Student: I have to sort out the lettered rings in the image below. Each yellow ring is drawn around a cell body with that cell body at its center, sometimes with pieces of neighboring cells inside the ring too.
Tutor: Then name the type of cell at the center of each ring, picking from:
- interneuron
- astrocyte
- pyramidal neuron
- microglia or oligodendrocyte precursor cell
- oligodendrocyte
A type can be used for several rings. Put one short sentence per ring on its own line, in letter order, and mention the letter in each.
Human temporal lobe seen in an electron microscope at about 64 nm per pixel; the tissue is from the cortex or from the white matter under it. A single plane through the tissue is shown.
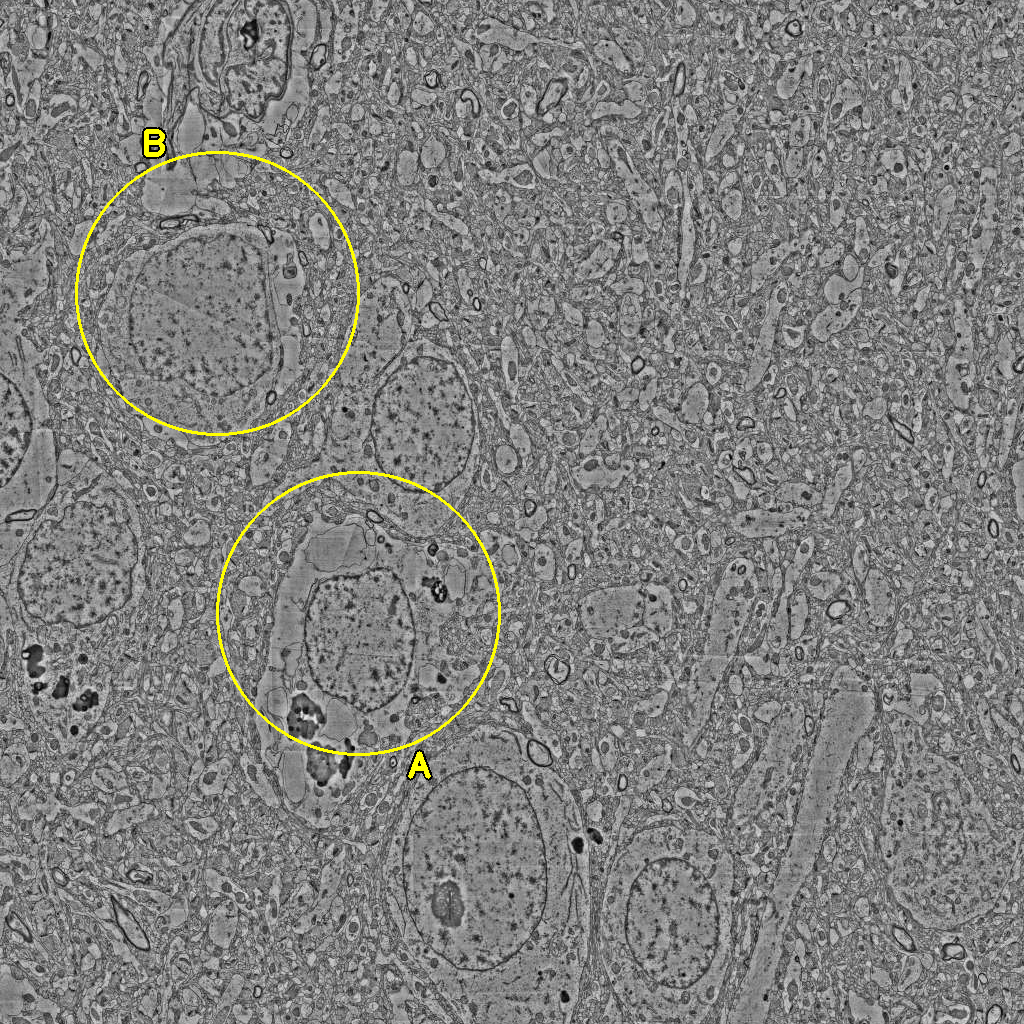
Inside ring A, at its center, is an astrocyte.
Inside ring B, at its center, is an interneuron.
